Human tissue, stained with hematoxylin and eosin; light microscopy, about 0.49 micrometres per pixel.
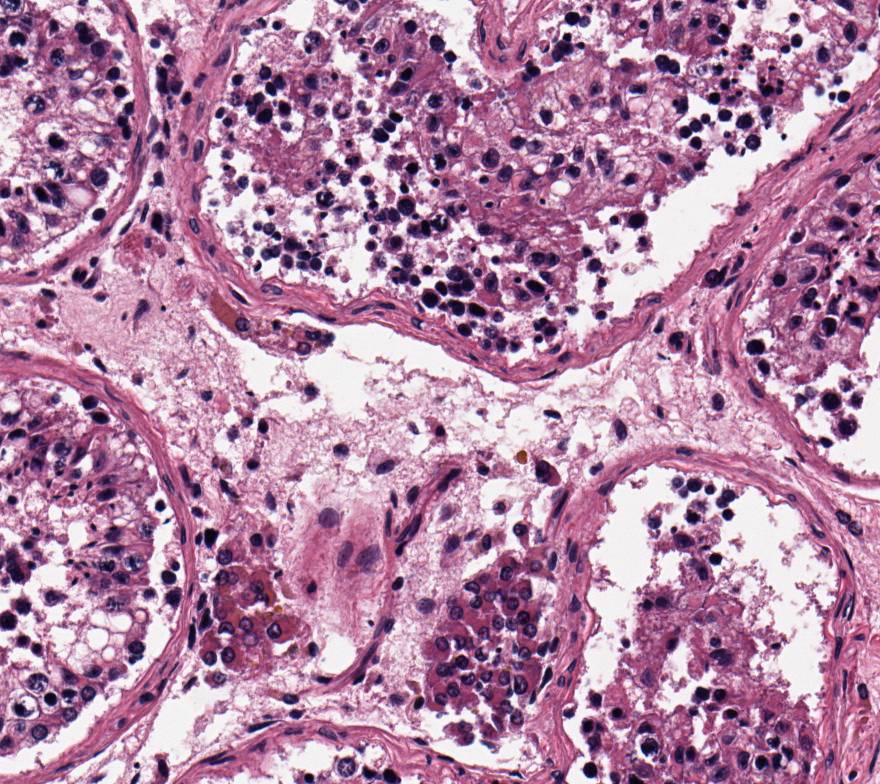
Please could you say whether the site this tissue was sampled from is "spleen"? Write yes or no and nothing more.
no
